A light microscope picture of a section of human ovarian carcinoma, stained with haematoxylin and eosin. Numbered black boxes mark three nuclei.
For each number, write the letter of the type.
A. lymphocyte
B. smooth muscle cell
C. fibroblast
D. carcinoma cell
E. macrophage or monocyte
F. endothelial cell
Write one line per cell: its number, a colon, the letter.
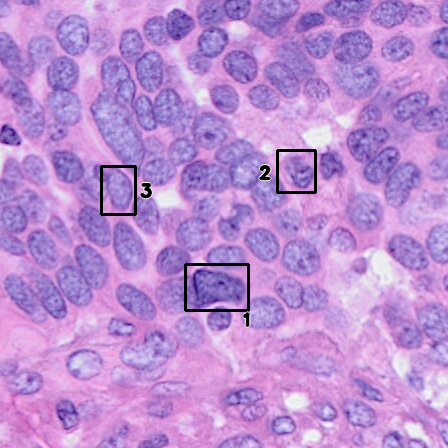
1: D
2: E
3: D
